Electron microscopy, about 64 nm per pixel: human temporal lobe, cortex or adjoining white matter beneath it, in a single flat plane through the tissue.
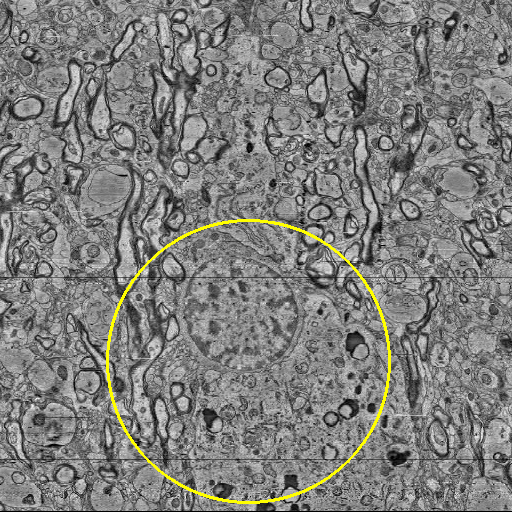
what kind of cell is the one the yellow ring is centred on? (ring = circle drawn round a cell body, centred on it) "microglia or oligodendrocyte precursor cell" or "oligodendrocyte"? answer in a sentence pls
The ring is drawn around an oligodendrocyte.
